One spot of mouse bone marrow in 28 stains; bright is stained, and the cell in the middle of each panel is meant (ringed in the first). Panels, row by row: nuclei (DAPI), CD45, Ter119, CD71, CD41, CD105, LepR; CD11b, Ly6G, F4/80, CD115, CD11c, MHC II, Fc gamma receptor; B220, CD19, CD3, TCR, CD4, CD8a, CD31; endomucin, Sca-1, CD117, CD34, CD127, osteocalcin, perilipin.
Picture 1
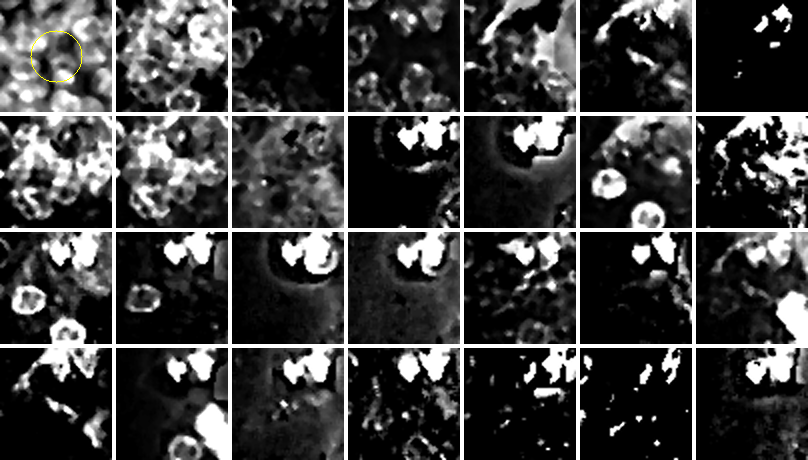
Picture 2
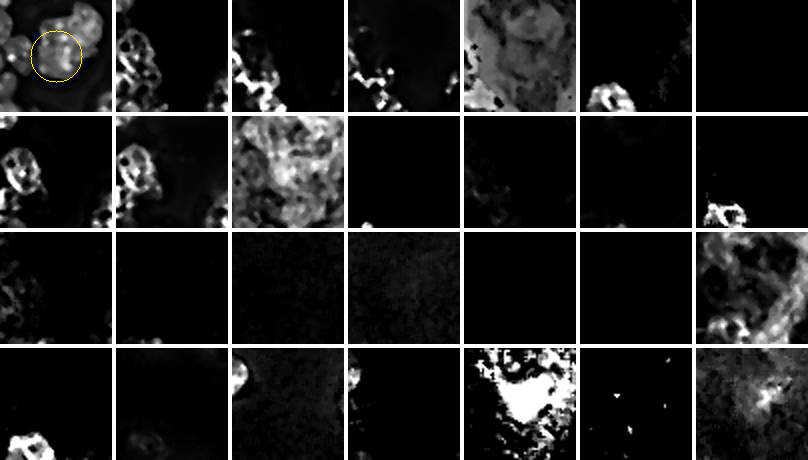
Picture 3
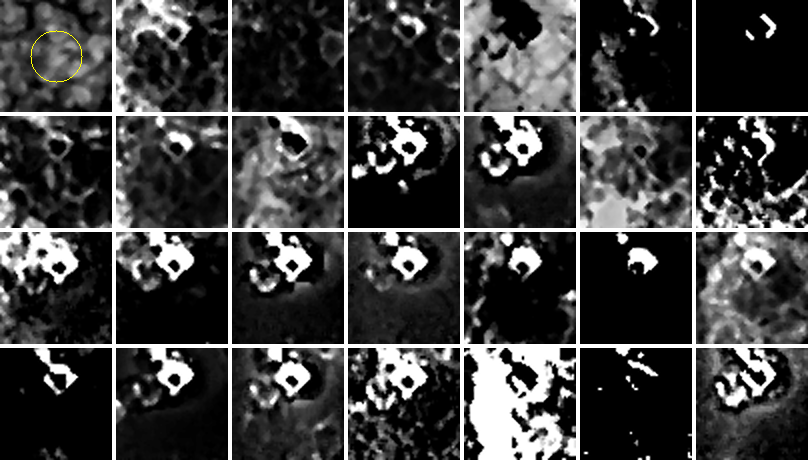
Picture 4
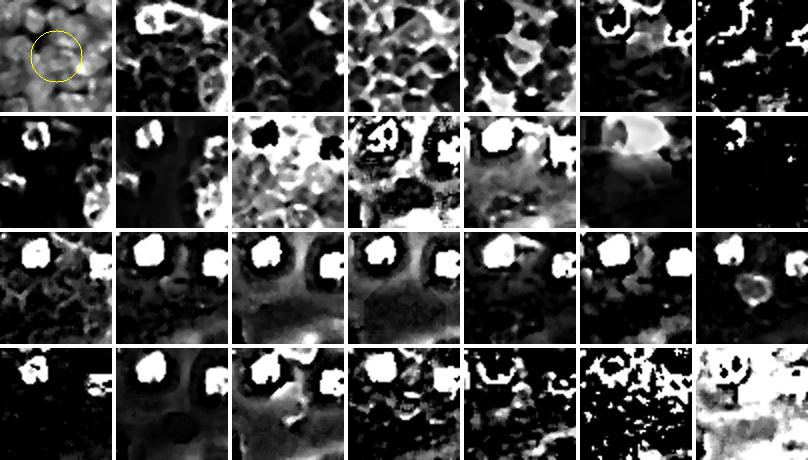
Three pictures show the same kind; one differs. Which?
Picture 2: a common lymphoid progenitor, while the others are megakaryocyte progenitors.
